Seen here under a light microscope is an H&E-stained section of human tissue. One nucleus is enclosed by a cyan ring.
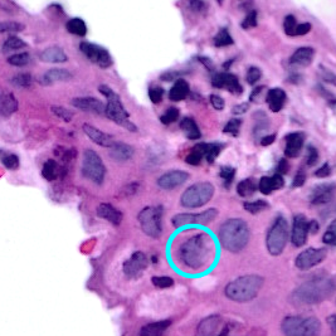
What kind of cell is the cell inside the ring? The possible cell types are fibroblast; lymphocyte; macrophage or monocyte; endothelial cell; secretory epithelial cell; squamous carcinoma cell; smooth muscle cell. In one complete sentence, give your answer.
In the tissue under study, the cell inside the ring is a secretory epithelial cell.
